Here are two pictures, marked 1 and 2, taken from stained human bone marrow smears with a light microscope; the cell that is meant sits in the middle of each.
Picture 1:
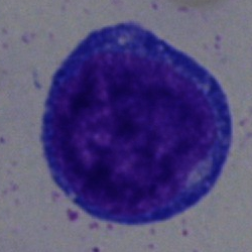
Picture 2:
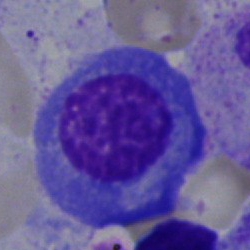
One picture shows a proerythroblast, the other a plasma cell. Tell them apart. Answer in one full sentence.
In picture 1 the cell is a proerythroblast; in picture 2, a plasma cell.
